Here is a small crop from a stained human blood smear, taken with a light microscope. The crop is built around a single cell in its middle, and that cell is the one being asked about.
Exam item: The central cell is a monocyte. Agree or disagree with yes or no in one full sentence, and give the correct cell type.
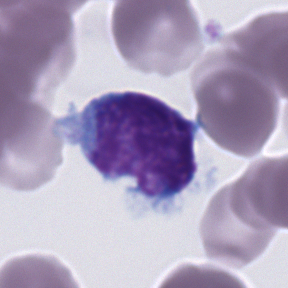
Yes, centred in the crop is a monocyte.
